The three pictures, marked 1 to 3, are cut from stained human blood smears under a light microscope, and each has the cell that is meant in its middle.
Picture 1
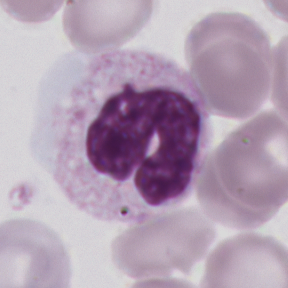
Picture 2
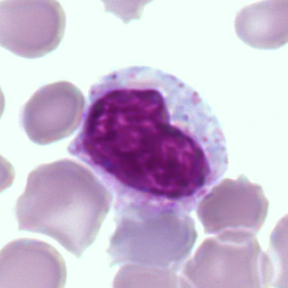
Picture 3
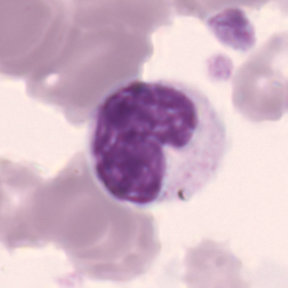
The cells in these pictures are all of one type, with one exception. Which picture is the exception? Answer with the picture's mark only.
1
